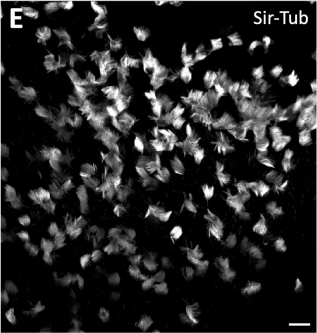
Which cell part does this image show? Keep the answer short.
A: cilia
